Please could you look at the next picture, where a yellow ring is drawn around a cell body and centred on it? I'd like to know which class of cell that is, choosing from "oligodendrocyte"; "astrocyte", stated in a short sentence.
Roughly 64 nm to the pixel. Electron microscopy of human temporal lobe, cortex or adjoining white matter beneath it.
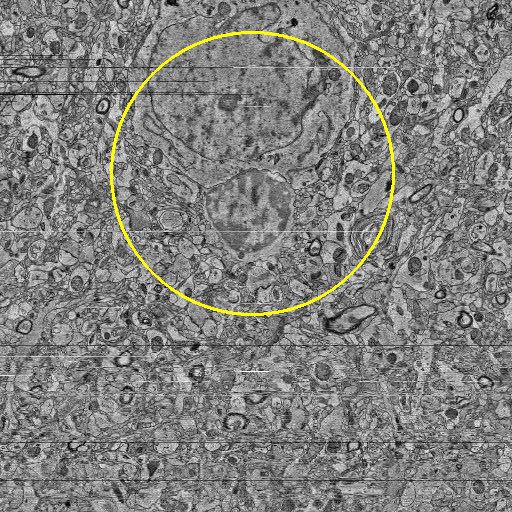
The ring's centre lies on an oligodendrocyte.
